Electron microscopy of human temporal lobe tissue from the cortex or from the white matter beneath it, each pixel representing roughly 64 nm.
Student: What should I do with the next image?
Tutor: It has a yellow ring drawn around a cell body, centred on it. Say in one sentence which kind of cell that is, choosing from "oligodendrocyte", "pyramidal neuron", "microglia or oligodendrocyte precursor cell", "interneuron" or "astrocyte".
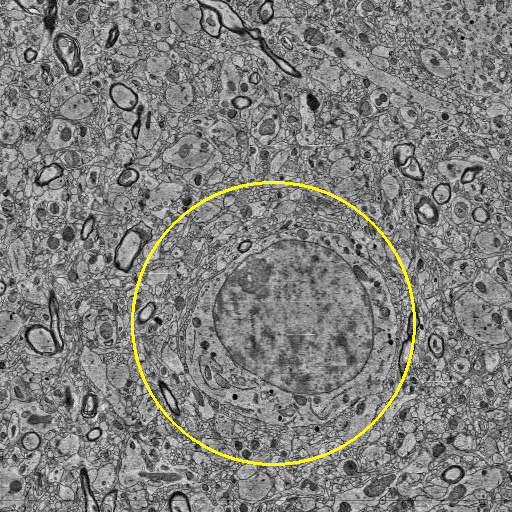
The ring's centre is occupied by an interneuron.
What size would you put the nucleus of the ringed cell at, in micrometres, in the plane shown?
In this plane the nucleus measures roughly 10 micrometres across.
